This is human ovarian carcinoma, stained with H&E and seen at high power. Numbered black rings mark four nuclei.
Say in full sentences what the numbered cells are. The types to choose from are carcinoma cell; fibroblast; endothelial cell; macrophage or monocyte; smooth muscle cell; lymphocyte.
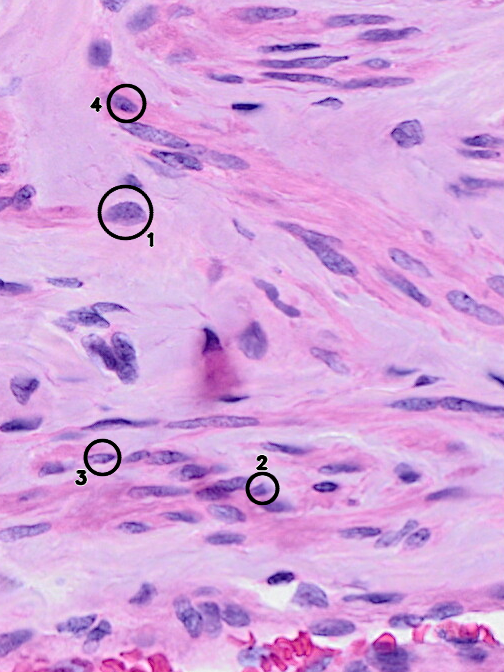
Cell 1 is a fibroblast. Cells 2, 3 and 4 are smooth muscle cells.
